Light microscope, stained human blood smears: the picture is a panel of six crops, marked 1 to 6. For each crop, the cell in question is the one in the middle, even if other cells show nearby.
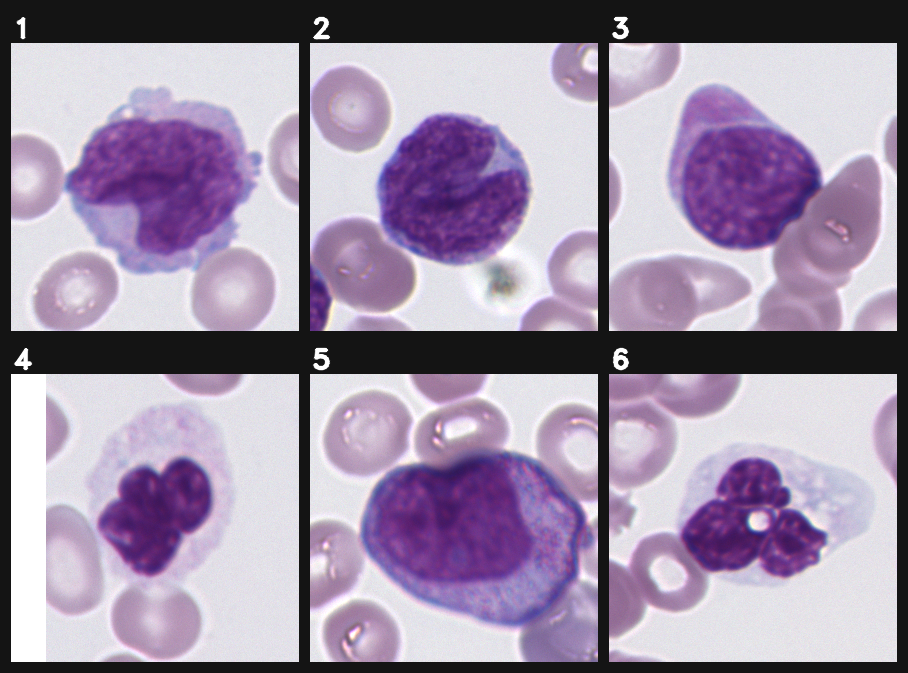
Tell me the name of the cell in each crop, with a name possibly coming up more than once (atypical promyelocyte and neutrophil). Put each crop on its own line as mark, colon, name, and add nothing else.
1: atypical promyelocyte
2: atypical promyelocyte
3: atypical promyelocyte
4: neutrophil
5: atypical promyelocyte
6: neutrophil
